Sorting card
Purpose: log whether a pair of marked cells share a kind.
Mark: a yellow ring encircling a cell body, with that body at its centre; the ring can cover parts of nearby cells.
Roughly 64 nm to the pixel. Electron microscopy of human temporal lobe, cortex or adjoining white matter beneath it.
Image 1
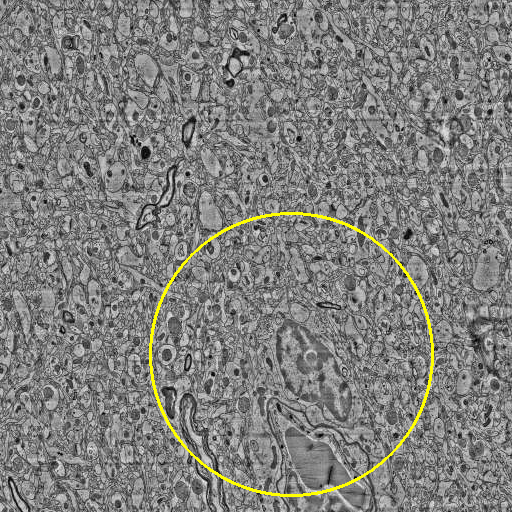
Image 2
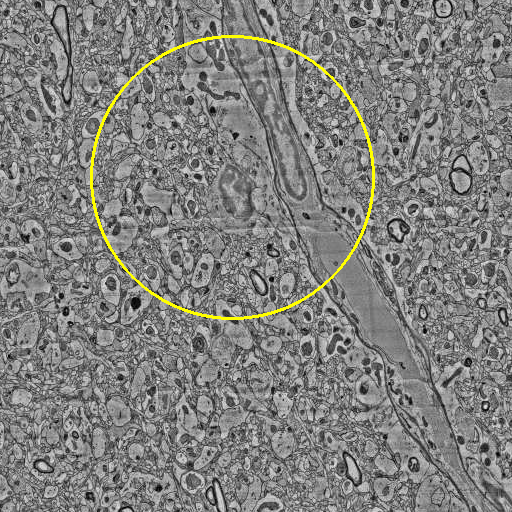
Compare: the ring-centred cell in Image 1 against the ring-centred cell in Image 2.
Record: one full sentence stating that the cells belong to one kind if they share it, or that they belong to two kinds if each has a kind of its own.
Across Images 1 and 2, the two ring-centred cells belong to two kinds.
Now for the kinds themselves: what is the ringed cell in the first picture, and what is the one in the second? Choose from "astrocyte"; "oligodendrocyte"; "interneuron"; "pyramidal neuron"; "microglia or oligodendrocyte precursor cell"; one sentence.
Here the first cell is a microglial cell or oligodendrocyte precursor cell and the second cell is an oligodendrocyte.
